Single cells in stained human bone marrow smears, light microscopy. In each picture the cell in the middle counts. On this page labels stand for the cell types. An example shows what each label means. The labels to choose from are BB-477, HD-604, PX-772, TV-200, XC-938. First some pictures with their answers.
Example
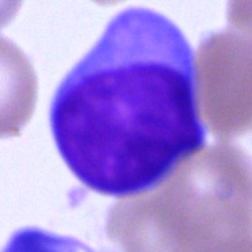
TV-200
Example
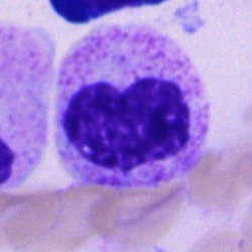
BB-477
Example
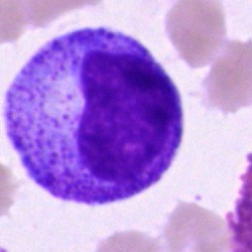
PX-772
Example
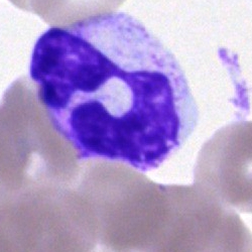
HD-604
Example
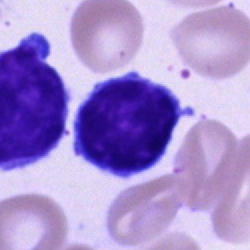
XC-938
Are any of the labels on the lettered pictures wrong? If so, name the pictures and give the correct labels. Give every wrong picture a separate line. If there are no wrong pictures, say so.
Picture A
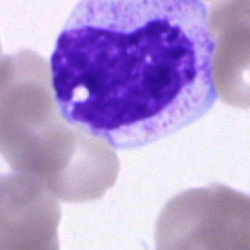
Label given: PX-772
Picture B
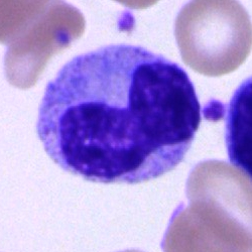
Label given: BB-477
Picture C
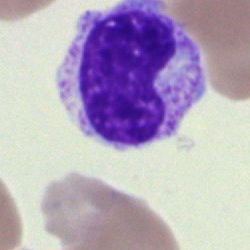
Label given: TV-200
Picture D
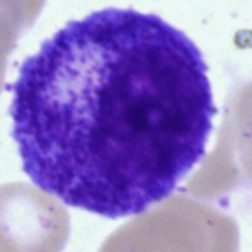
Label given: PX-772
A: BB-477, not PX-772
C: BB-477, not TV-200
